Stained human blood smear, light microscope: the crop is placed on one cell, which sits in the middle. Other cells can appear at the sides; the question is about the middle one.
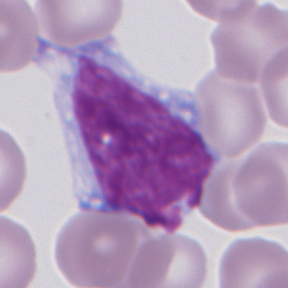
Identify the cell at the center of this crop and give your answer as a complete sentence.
Seen at the centre of the crop is a typical lymphocyte.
